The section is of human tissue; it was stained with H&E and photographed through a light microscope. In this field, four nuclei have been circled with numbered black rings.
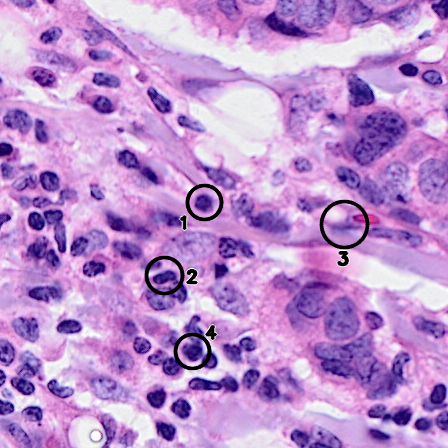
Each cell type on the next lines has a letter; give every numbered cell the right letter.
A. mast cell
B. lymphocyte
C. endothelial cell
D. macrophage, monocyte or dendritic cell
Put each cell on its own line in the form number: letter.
1: B
2: B
3: C
4: B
